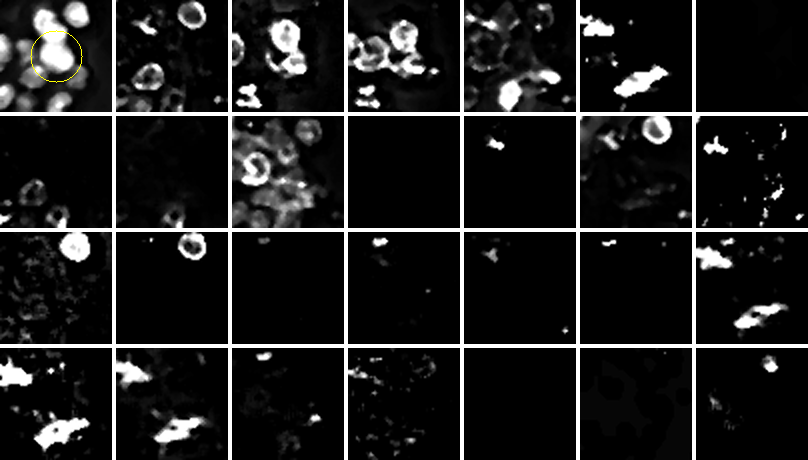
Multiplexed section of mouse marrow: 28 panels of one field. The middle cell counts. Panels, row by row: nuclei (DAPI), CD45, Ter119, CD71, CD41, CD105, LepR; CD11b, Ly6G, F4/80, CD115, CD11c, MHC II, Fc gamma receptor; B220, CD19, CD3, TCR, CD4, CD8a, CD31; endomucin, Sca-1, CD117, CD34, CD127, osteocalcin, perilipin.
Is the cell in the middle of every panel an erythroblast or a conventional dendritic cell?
It is an erythroblast.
